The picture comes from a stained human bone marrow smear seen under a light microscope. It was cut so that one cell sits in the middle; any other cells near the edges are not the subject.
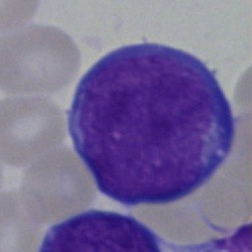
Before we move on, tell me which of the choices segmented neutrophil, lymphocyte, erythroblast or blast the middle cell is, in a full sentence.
The cell featured at the centre of this crop is a blast.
